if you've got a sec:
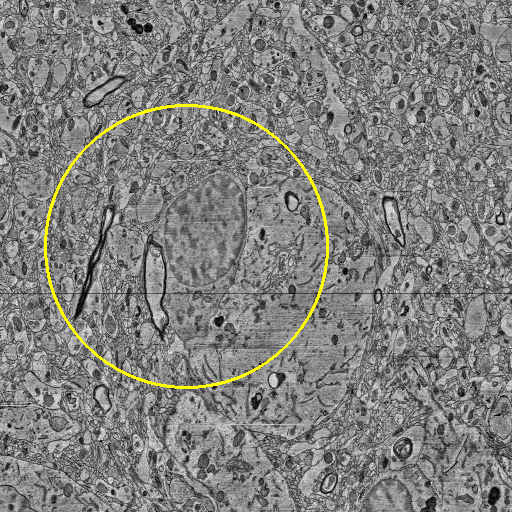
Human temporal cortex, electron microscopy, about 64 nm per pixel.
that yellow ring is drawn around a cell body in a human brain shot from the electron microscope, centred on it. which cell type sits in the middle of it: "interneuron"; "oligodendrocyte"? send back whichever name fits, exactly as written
oligodendrocyte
